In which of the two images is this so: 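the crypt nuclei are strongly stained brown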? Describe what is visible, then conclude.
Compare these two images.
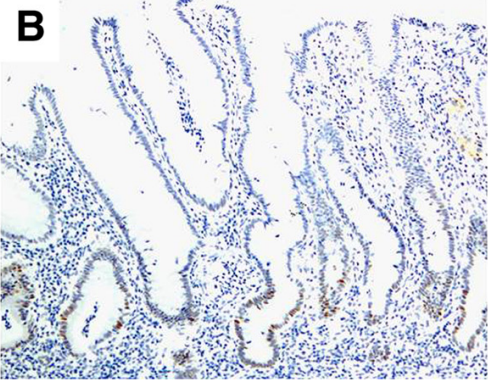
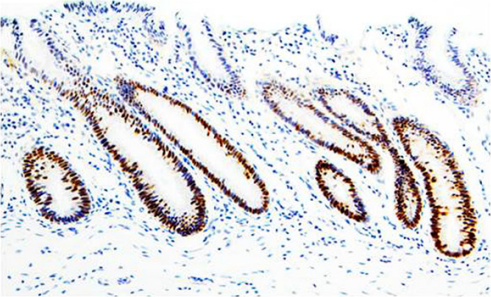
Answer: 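The second image. Second image: crypt nuclei are dark brown over much of the crypt length. First image: crypt nuclei show only a faint brownish tint at the base, most are blue.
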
